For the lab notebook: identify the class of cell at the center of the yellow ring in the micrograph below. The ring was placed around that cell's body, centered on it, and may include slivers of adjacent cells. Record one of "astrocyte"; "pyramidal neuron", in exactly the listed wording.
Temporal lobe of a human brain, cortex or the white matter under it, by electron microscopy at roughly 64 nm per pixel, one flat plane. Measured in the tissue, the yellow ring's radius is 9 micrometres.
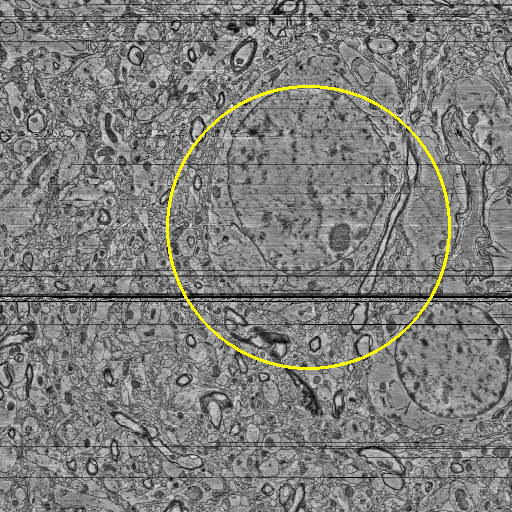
pyramidal neuron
